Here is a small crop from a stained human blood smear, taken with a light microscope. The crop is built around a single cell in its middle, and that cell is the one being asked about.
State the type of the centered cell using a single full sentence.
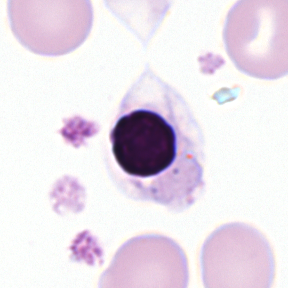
The cell of interest, in the center, is a normoblast.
